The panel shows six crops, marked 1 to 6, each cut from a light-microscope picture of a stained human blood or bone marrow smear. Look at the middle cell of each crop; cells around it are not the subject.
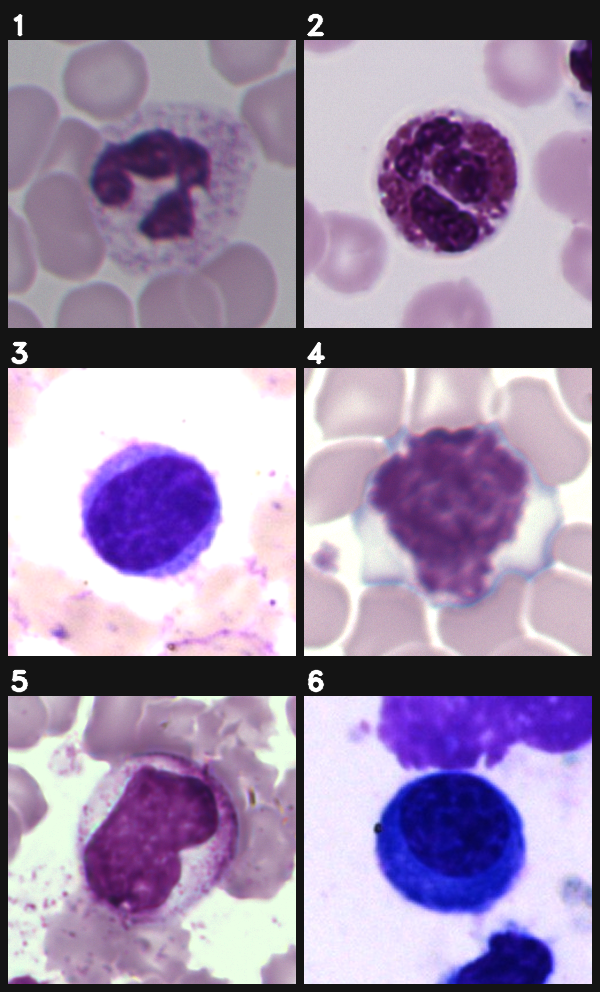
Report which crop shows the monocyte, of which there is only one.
4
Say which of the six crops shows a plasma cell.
6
